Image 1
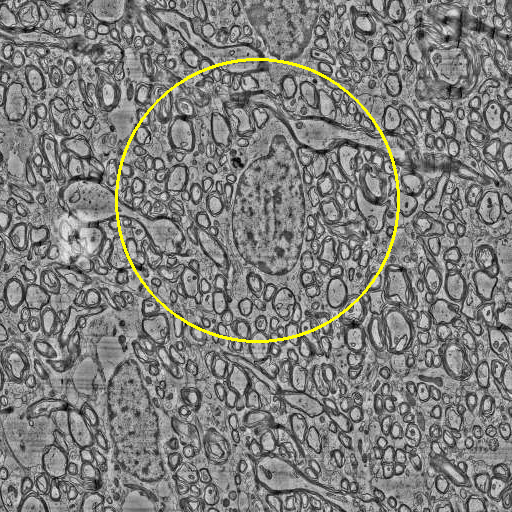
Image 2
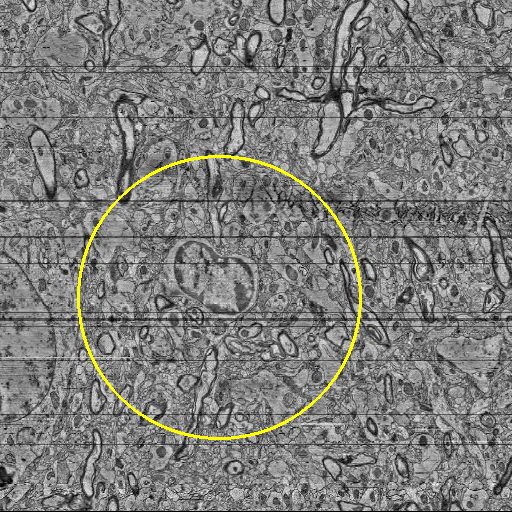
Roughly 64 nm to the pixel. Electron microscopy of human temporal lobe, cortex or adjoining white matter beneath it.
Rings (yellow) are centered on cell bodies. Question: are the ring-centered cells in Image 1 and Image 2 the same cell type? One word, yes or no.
yes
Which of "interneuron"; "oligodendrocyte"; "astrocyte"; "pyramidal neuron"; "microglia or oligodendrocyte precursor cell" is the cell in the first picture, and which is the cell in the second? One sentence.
In both pictures the ring is centred on a microglial cell or oligodendrocyte precursor cell.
